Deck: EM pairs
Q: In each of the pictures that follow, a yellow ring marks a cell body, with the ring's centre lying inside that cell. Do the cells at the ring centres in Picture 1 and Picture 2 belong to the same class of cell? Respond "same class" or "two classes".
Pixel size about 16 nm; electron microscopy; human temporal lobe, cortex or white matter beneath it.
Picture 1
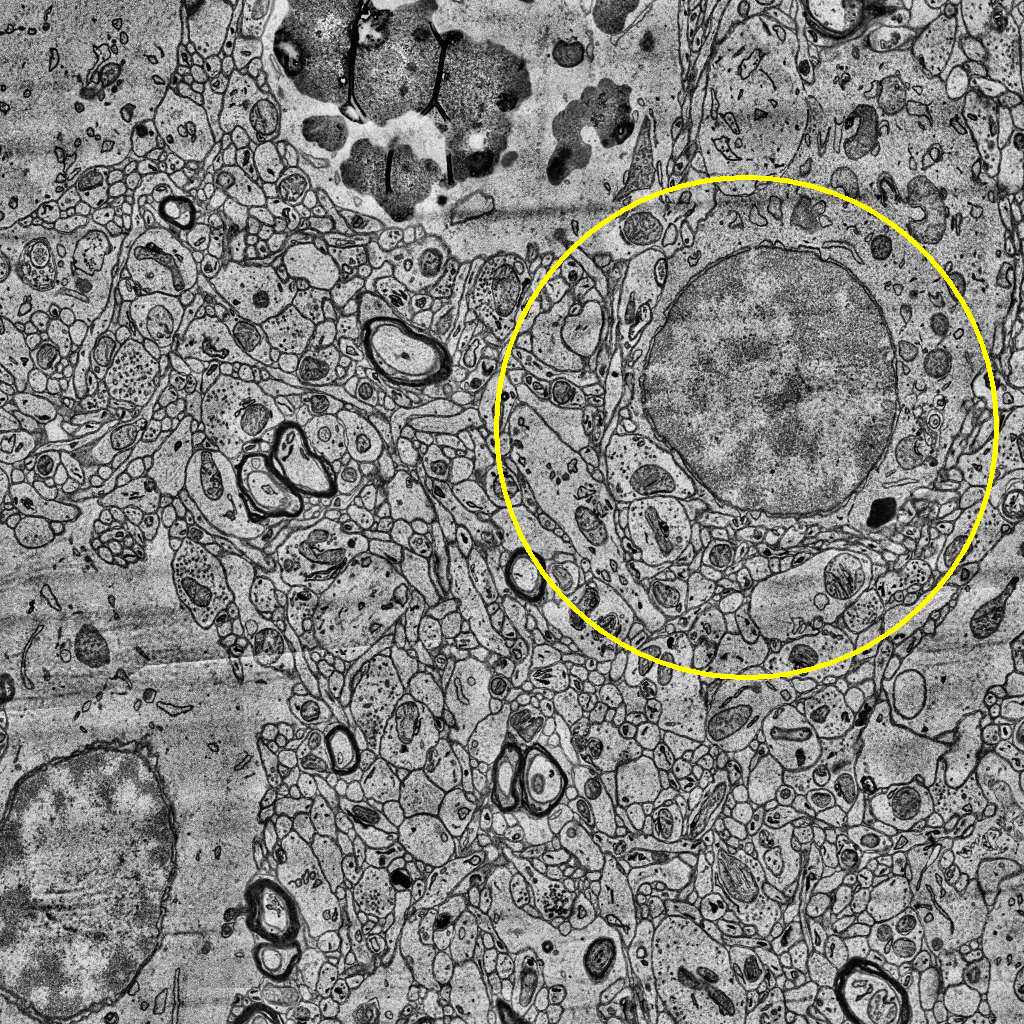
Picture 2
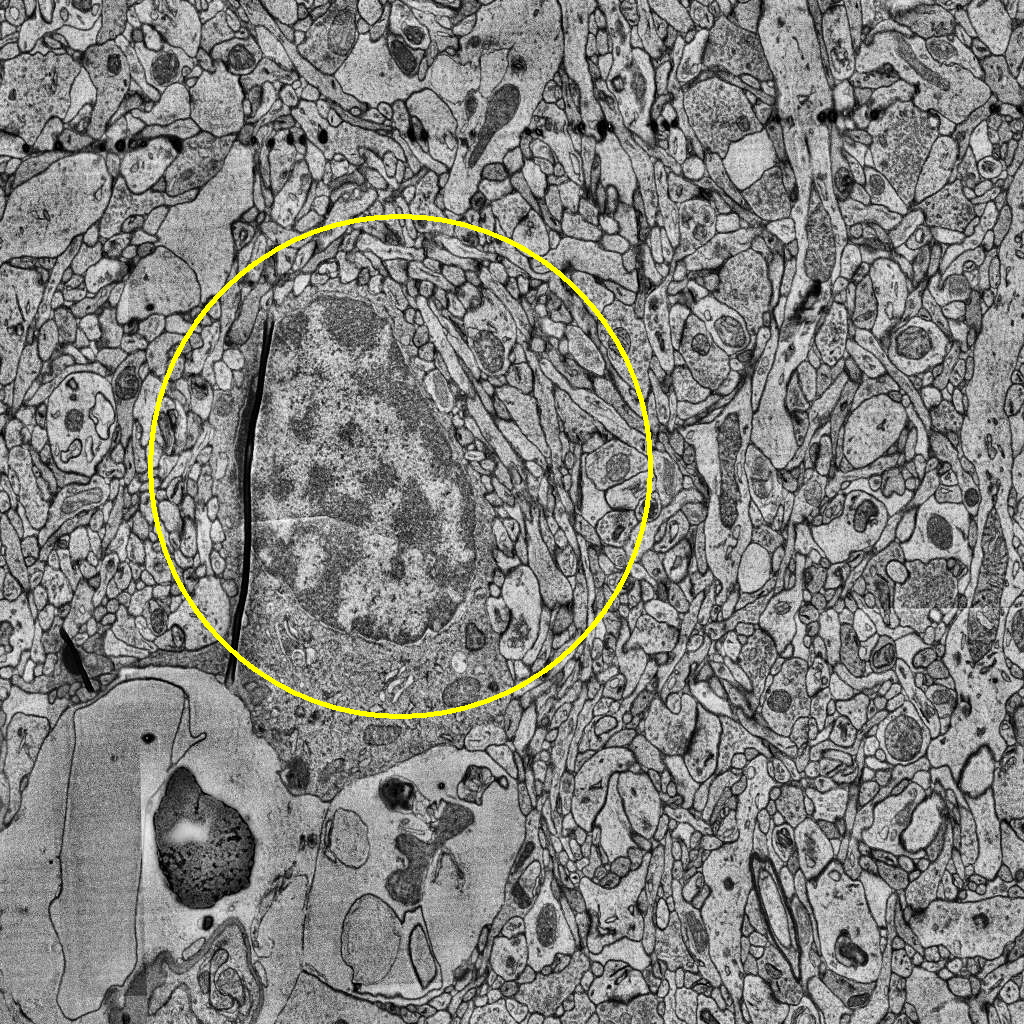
same class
